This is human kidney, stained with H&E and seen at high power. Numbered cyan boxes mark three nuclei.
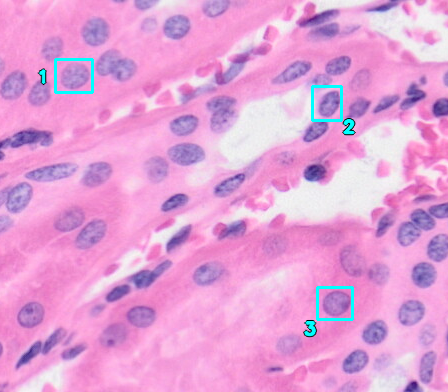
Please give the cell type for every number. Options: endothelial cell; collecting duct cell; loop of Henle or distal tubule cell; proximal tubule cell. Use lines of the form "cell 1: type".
cell 1: loop of Henle or distal tubule cell
cell 2: collecting duct cell
cell 3: proximal tubule cell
